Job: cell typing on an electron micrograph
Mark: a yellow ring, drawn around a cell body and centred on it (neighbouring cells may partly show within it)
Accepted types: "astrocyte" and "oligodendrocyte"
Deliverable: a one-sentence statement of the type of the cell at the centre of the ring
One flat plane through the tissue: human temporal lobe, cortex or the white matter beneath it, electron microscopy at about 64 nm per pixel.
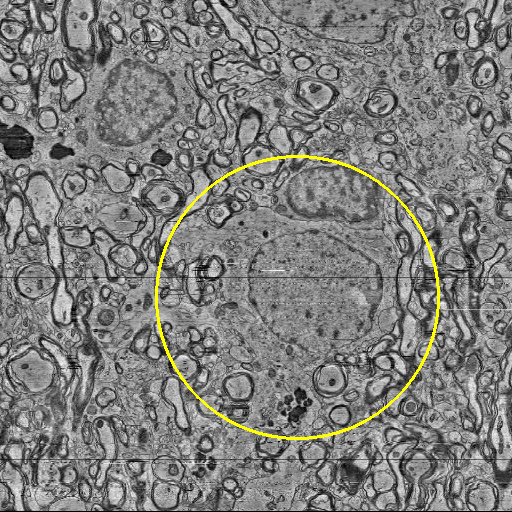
The centred cell body is that of an astrocyte.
